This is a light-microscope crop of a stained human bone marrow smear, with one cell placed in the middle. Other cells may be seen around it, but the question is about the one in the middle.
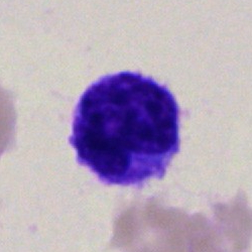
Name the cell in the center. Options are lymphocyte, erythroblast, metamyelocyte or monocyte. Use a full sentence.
Standing at the centre of this crop is a lymphocyte.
